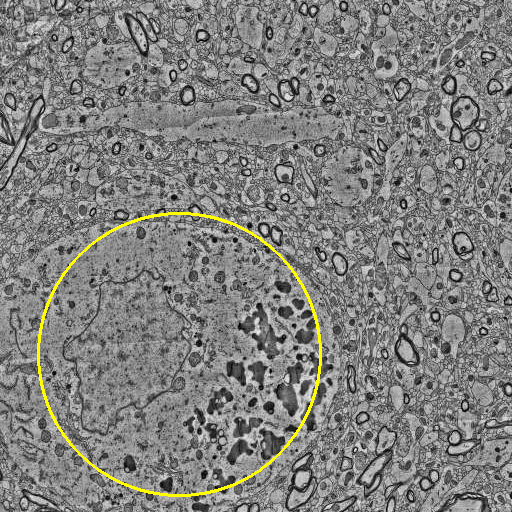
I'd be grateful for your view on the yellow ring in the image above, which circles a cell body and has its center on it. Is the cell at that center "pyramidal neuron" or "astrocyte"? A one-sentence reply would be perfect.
The cell at the center of the yellow ring is a pyramidal neuron.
